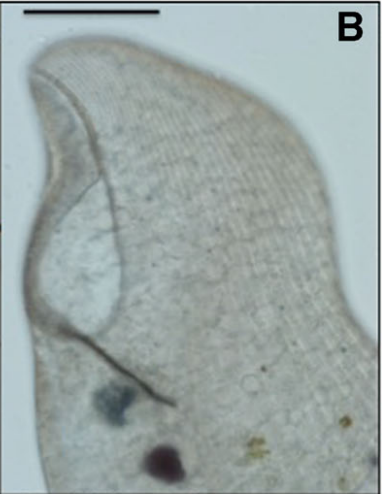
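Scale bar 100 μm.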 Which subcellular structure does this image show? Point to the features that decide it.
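A clear, elongated opening lies at the upper left edge of the cell. The opening is bordered by a dark curved rim. Fine parallel striations cover the rest of the cell surface.
Conclusion: oral aperture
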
